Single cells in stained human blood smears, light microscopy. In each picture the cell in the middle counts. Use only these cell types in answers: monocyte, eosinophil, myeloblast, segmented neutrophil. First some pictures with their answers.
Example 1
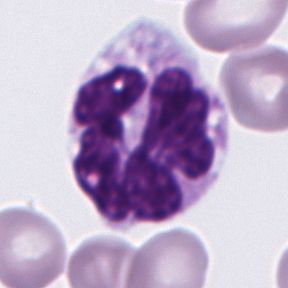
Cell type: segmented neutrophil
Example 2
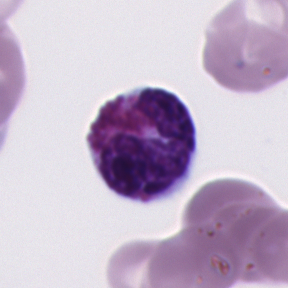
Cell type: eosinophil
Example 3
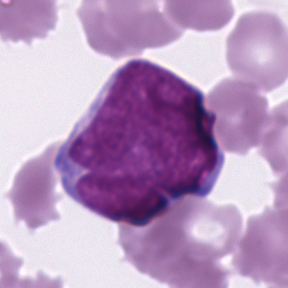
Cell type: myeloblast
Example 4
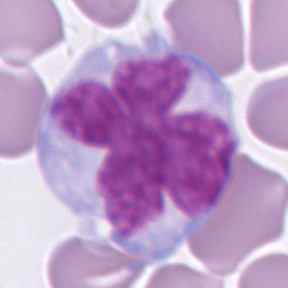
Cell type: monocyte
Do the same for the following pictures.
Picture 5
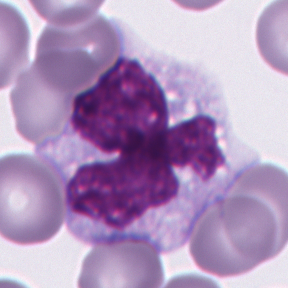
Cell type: monocyte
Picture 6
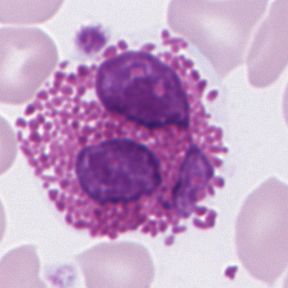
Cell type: eosinophil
